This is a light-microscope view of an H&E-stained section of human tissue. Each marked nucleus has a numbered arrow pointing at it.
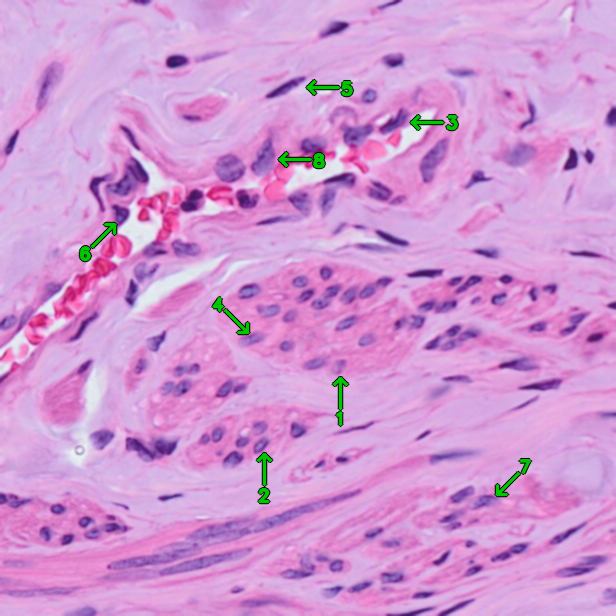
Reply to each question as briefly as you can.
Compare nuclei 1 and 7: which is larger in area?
7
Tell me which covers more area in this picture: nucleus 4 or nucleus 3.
3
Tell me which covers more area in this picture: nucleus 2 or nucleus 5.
5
